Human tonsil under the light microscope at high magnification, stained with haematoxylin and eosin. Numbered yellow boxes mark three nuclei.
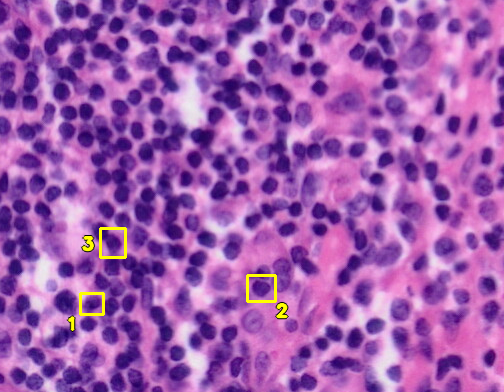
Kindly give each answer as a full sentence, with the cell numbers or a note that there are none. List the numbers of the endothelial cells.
Only the cell with number 2 is an endothelial cell.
